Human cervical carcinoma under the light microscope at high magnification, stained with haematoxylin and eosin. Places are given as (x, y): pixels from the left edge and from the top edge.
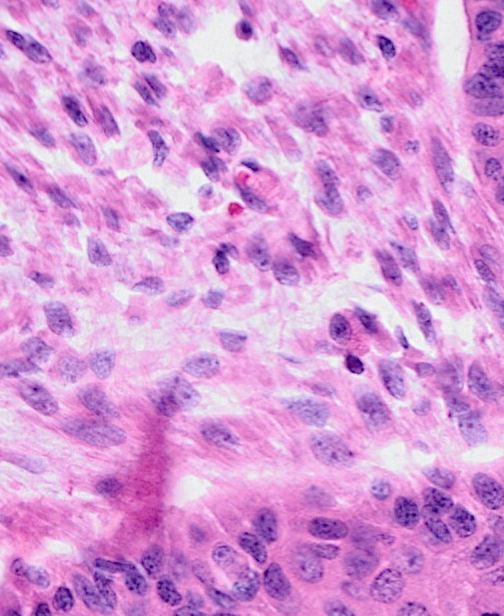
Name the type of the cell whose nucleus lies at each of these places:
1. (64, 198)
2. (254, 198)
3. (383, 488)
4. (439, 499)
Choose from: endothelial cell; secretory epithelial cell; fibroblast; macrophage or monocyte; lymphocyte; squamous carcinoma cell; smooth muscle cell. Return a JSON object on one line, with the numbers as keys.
{"1": "fibroblast", "2": "endothelial cell", "3": "squamous carcinoma cell", "4": "squamous carcinoma cell"}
